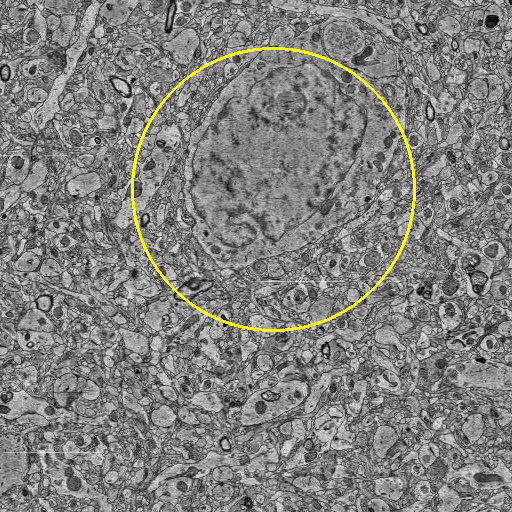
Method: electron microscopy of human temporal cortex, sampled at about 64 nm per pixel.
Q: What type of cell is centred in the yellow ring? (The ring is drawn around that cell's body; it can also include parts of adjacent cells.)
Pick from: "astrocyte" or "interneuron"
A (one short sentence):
The yellow ring is centred on an interneuron.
